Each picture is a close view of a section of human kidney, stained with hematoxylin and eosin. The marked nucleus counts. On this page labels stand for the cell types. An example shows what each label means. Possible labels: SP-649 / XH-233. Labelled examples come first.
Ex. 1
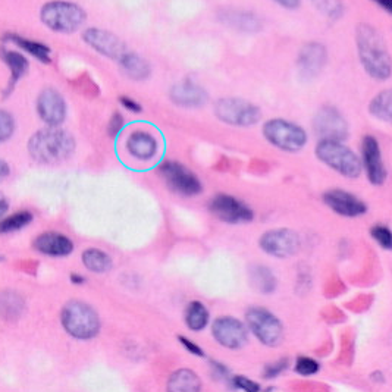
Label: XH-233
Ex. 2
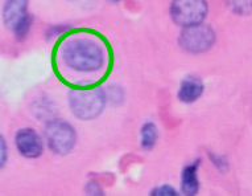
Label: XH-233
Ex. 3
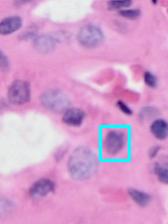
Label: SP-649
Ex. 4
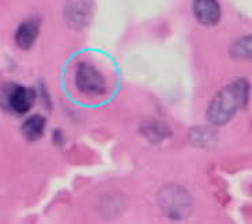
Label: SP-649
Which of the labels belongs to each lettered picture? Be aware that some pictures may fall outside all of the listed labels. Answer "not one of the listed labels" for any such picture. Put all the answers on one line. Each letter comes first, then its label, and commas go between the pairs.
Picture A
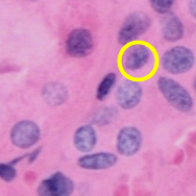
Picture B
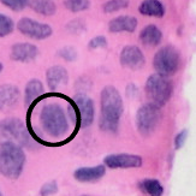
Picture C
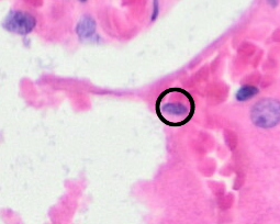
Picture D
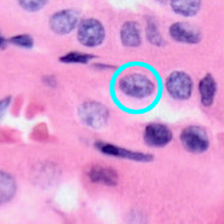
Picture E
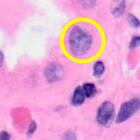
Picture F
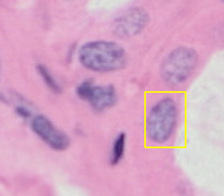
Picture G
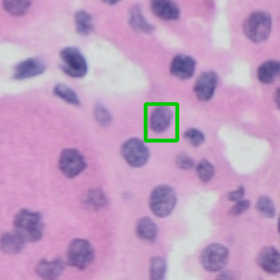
A XH-233, B XH-233, C not one of the listed labels, D SP-649, E SP-649, F SP-649, G XH-233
